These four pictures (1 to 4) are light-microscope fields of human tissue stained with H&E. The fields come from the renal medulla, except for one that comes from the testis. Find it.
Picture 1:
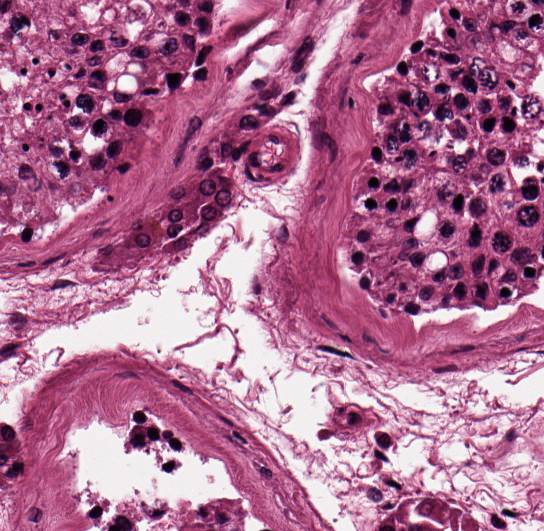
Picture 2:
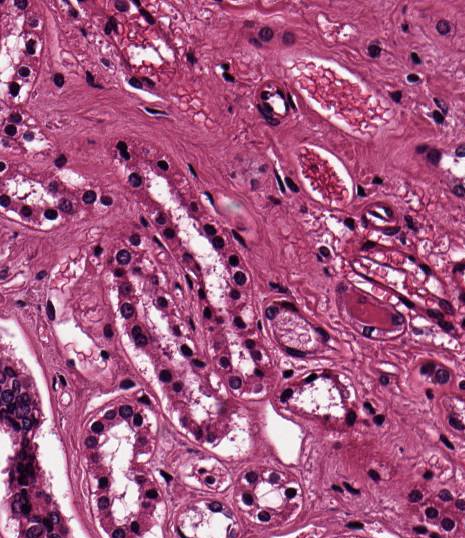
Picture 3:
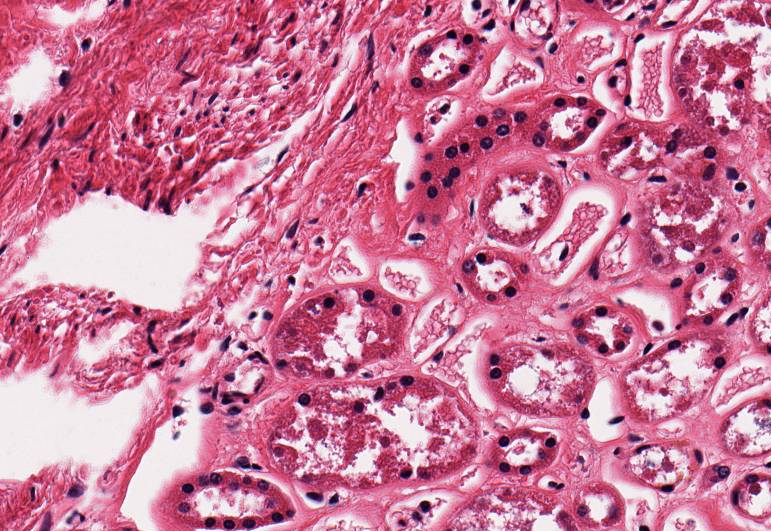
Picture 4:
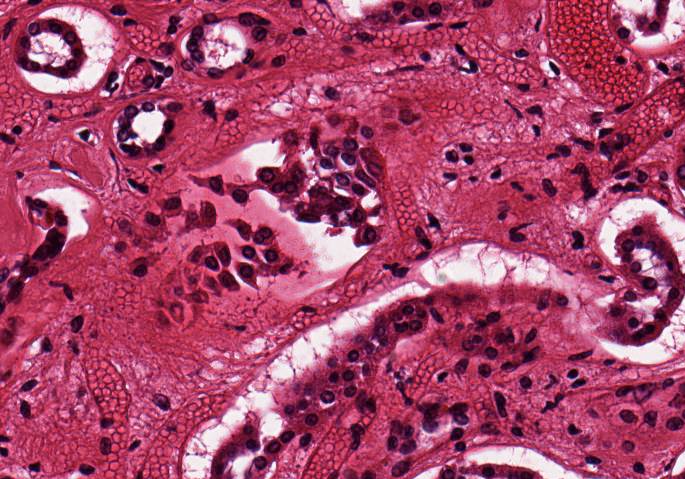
1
